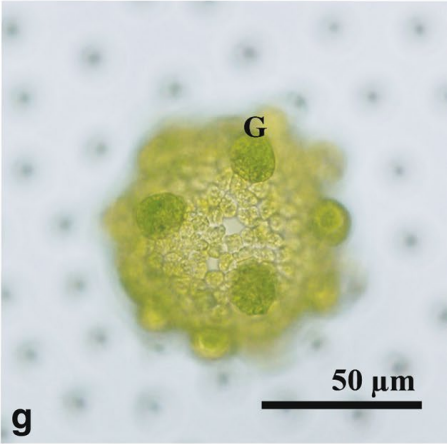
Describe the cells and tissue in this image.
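A developing embryo of a green colonial alga before inversion, lying within the parent colony. It forms a rounded cluster of many small, closely packed green cells with a paler, somewhat irregular centre. Around its edge, several much larger, rounded, darker green cells bulge outward on the outer surface; these are the gonidia of the next generation. The embryo is surrounded by the small, evenly spaced somatic cells of the parent colony, which appear as pale grey dots in the clear gelatinous matrix, partly out of focus.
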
